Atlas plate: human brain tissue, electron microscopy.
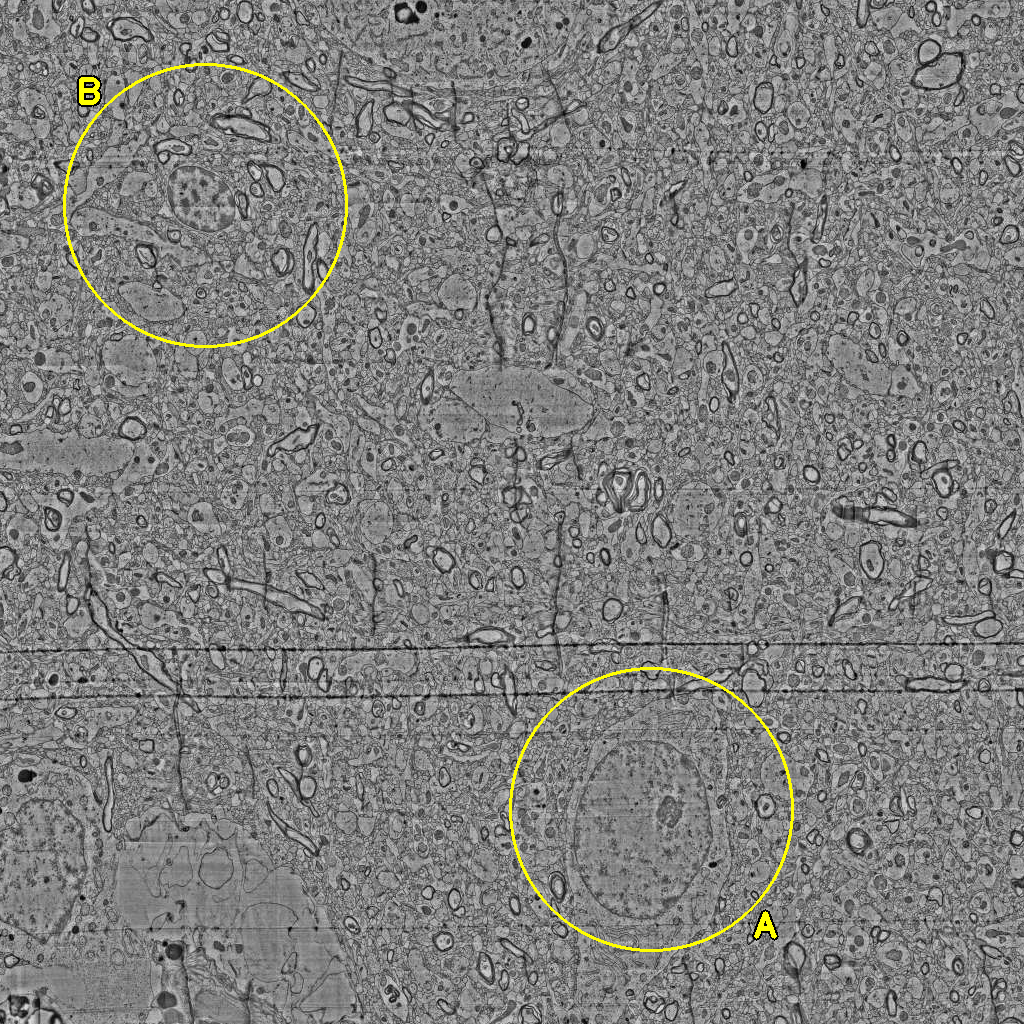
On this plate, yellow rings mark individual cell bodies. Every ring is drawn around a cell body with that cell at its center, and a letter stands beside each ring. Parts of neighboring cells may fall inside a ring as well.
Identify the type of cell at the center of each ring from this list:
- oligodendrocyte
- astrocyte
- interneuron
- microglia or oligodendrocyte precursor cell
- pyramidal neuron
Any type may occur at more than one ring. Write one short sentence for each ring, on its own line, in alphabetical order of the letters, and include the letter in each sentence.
At the center of ring A lies an interneuron.
At the center of ring B lies a microglial cell or oligodendrocyte precursor cell.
